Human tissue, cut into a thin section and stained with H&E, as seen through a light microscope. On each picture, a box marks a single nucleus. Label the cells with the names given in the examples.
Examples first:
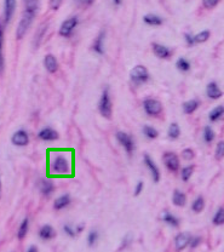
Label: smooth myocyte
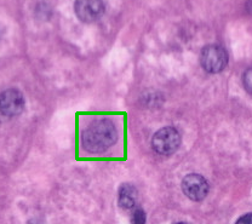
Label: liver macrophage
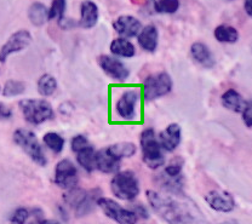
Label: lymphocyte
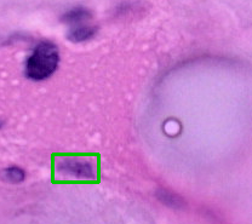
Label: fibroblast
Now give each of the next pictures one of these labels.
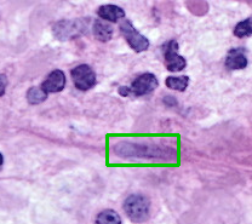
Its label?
fibroblast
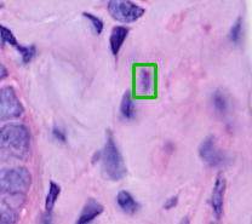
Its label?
smooth myocyte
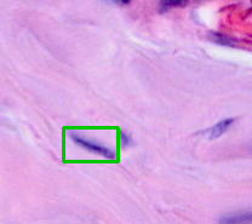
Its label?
fibroblast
